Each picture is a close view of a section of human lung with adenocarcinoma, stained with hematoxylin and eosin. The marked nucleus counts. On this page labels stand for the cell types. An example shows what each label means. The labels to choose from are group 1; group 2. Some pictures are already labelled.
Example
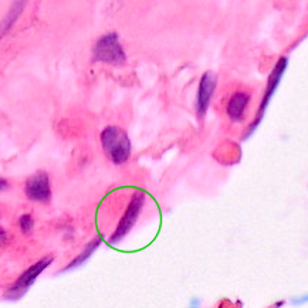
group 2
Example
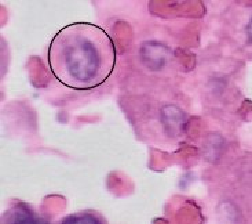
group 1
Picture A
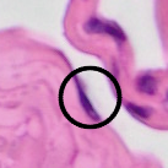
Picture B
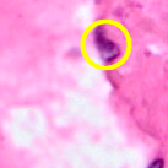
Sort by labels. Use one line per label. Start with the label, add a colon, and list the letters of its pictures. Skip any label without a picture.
group 2: A, B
